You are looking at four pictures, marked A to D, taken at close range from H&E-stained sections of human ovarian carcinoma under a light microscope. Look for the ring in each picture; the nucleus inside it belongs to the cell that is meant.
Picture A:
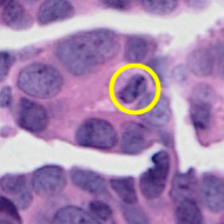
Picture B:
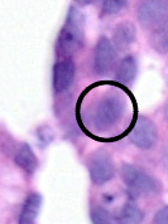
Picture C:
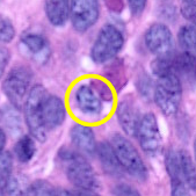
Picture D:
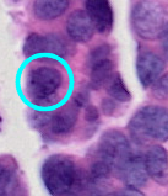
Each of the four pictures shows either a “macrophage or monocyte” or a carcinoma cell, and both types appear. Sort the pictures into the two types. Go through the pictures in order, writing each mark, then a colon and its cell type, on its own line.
A: macrophage or monocyte
B: carcinoma cell
C: macrophage or monocyte
D: carcinoma cell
